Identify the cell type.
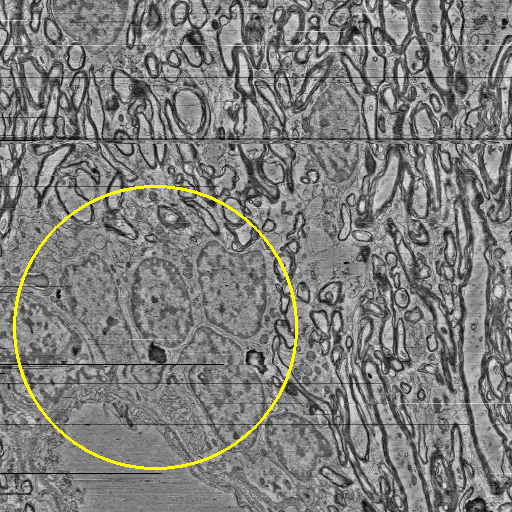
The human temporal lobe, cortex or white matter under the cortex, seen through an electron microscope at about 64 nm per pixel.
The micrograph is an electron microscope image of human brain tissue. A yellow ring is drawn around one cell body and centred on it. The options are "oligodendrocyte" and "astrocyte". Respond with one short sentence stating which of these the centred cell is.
The cell body in the ring belongs to an oligodendrocyte.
